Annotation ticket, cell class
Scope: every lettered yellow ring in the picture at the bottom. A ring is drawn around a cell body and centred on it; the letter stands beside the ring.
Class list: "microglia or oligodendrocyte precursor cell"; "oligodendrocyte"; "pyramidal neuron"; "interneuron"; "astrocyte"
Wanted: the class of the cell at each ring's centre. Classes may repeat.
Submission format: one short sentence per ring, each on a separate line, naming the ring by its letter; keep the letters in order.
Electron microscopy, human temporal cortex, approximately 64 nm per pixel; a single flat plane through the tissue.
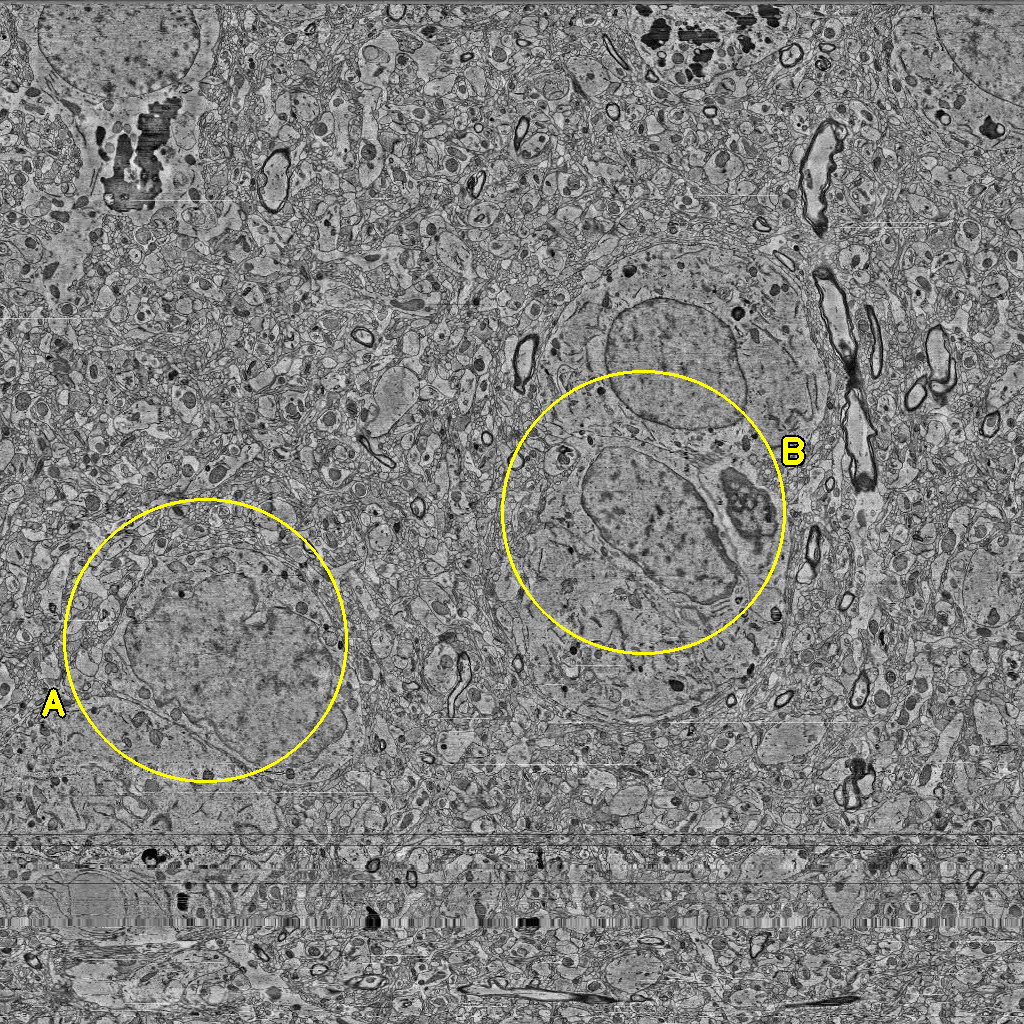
The centre of ring A is occupied by an interneuron.
The centre of ring B is occupied by a microglial cell or oligodendrocyte precursor cell.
